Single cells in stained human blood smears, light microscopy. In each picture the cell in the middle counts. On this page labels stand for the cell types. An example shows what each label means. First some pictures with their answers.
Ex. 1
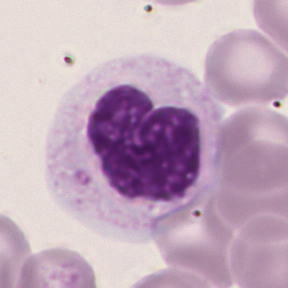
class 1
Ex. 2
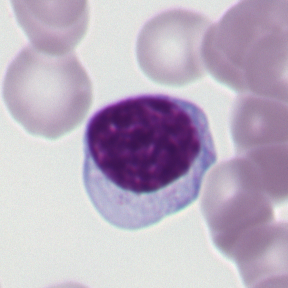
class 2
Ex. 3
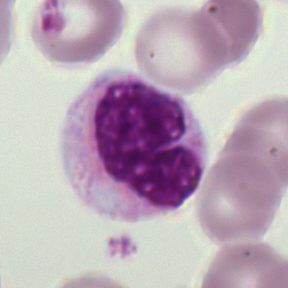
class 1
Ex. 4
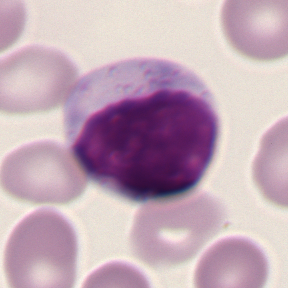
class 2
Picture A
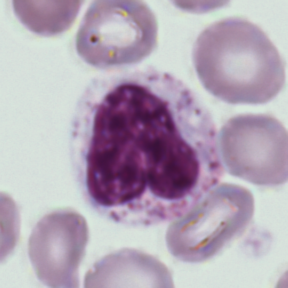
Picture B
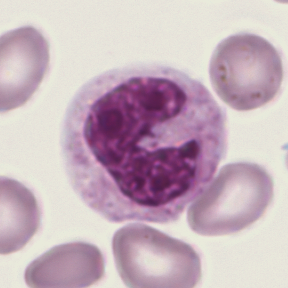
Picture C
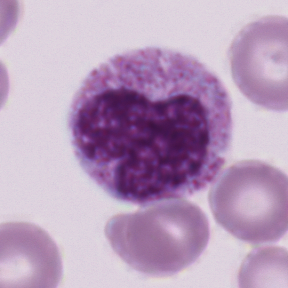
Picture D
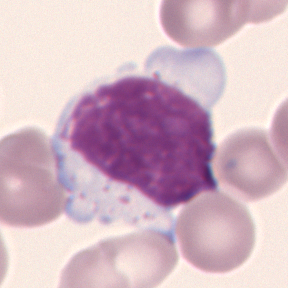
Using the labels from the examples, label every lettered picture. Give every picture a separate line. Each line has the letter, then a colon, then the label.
A: class 1
B: class 1
C: class 1
D: class 2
